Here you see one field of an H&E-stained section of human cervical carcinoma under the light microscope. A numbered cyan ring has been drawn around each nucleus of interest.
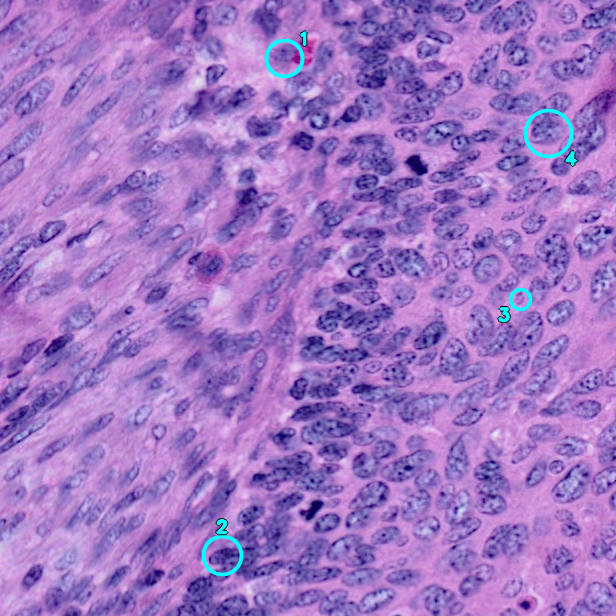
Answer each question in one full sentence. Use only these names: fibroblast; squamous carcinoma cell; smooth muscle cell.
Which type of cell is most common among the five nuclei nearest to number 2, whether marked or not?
The majority of the five nuclei closest to number 2 belong to squamous carcinoma cells.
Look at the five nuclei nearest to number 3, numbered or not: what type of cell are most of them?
Around number 3, most of the five nearest nuclei are those of squamous carcinoma cells.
